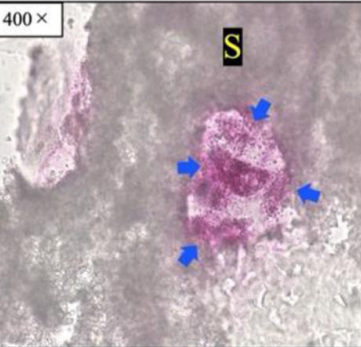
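This view shows the surface of a scaffold, grey and mottled, with one striking cell upon it: a large osteoclast stained pink to red. Elsewhere the field is pale and granular, with a faint pinkish streak at the upper left.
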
